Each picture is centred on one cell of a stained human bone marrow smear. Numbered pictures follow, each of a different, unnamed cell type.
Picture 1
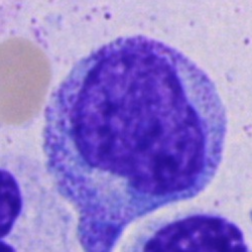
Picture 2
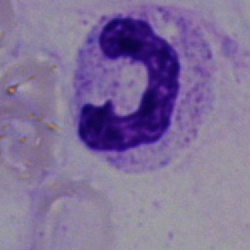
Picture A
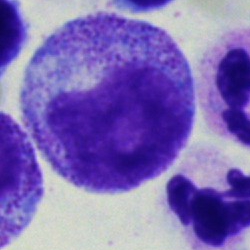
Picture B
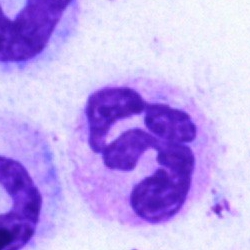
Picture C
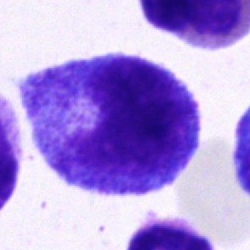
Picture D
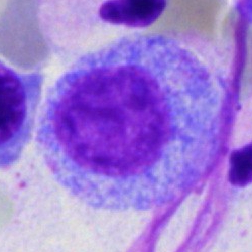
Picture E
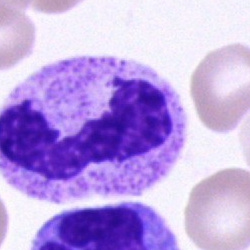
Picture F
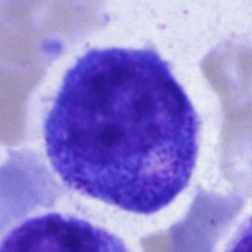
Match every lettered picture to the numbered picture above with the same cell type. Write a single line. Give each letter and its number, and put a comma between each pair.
A 1, B 2, C 1, D 1, E 2, F 1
